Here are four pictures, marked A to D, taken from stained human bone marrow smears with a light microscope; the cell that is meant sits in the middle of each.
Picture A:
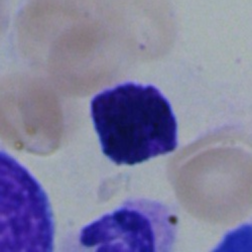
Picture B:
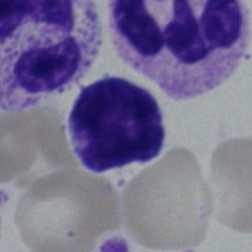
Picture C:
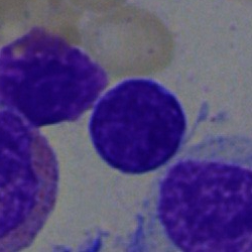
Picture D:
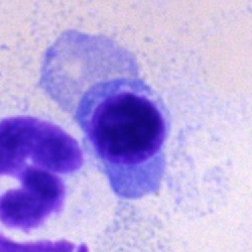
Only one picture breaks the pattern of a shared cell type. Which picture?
D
